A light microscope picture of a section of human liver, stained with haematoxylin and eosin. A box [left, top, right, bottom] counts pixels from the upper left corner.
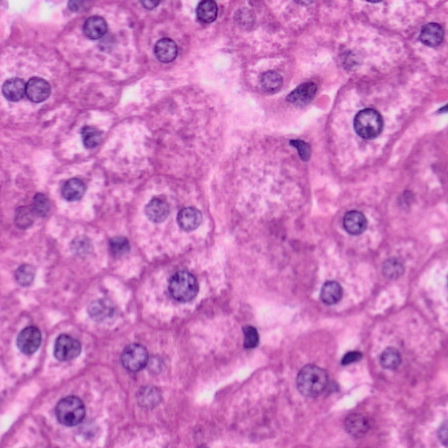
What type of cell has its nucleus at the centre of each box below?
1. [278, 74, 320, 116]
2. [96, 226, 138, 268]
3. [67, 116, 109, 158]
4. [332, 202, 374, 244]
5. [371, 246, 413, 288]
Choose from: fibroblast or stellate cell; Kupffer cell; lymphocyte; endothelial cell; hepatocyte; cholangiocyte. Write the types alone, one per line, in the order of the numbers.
Kupffer cell
endothelial cell
hepatocyte
hepatocyte
hepatocyte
